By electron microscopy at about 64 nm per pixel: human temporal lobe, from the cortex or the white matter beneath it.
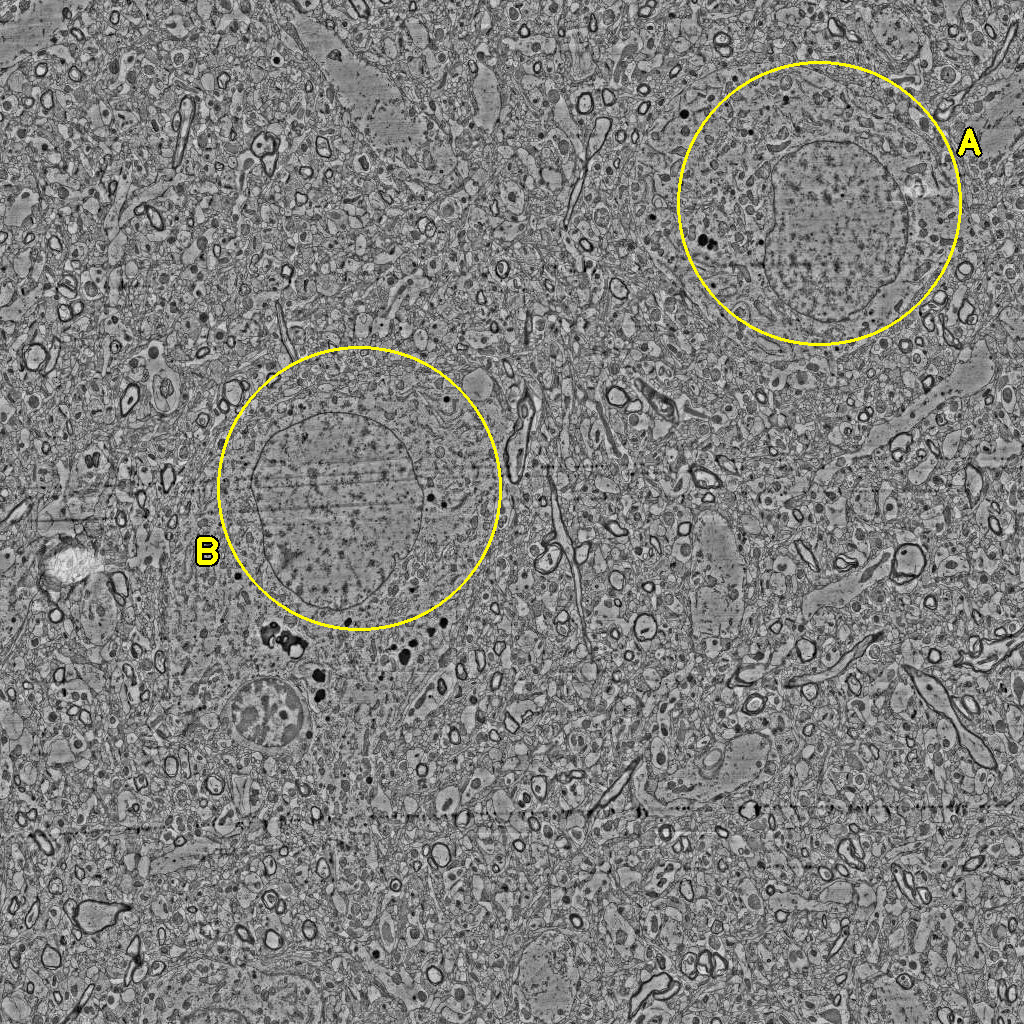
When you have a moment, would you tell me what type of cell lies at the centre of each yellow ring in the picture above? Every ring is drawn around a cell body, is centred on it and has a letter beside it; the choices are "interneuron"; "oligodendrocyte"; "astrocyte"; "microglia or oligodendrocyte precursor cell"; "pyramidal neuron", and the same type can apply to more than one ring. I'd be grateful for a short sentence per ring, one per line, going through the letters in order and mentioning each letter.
The cell at the centre of ring A is an interneuron.
The cell at the centre of ring B is a pyramidal neuron.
